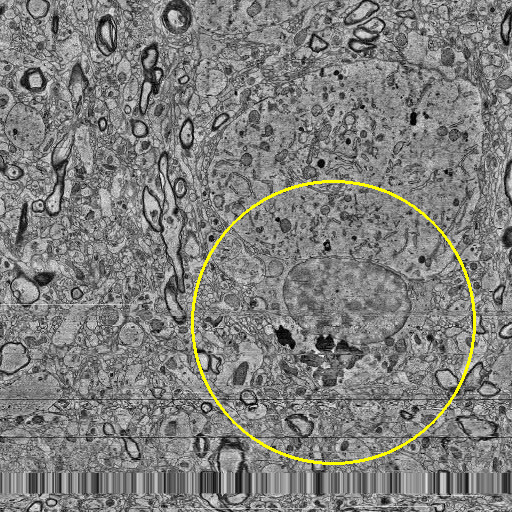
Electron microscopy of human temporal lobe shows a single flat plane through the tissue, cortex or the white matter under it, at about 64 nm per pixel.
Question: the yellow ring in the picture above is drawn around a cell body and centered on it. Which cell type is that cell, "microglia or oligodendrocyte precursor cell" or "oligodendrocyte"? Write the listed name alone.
oligodendrocyte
